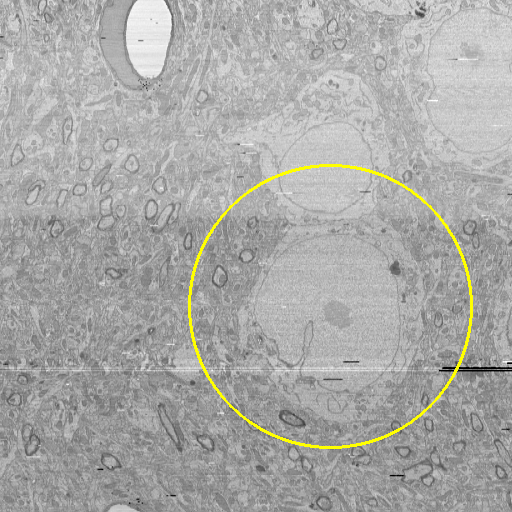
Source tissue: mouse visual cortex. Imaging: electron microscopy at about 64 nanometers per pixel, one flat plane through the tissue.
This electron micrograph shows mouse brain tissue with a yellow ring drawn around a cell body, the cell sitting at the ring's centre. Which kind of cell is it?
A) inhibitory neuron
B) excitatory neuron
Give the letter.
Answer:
B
